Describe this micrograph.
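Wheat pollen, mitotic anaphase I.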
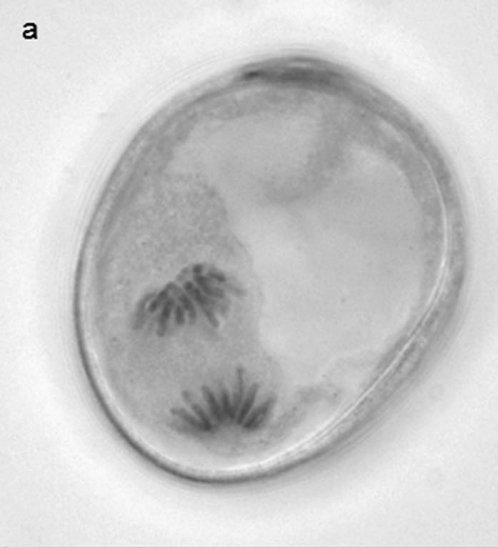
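Two neat groups of dark rod-shaped chromosomes lie apart near one side of the grain in granular cytoplasm, with no loose pieces between them. Much of the rest of the grain looks pale and clear.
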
